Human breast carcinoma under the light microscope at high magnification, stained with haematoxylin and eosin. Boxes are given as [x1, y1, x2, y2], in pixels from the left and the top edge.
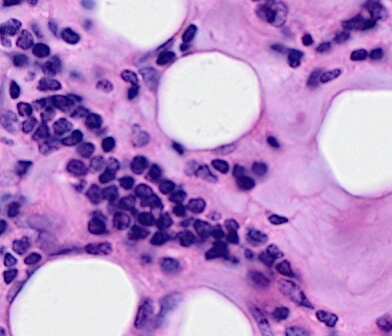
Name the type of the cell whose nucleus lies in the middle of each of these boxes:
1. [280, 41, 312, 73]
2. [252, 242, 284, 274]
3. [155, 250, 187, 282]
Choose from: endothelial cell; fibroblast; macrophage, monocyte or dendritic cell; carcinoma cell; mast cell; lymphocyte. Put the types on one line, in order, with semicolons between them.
lymphocyte; lymphocyte; mast cell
